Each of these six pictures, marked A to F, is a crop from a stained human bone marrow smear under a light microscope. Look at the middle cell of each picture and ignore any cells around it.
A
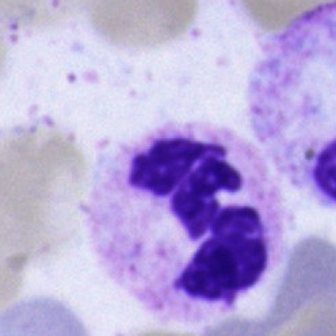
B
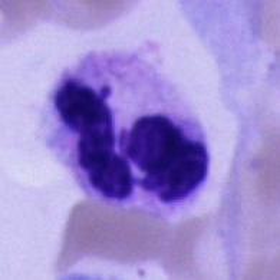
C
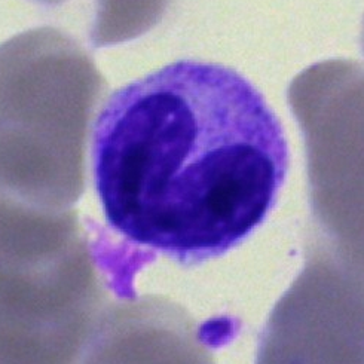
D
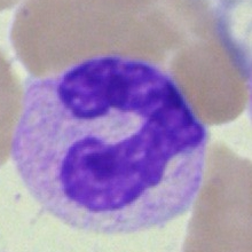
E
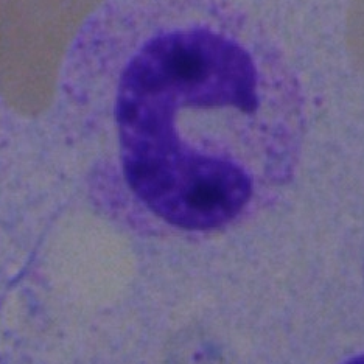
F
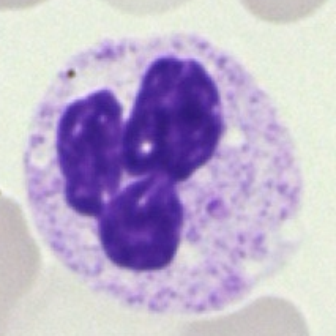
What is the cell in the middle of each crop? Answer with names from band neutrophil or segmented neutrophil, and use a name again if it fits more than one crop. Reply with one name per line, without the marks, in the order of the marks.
segmented neutrophil
segmented neutrophil
band neutrophil
band neutrophil
band neutrophil
segmented neutrophil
